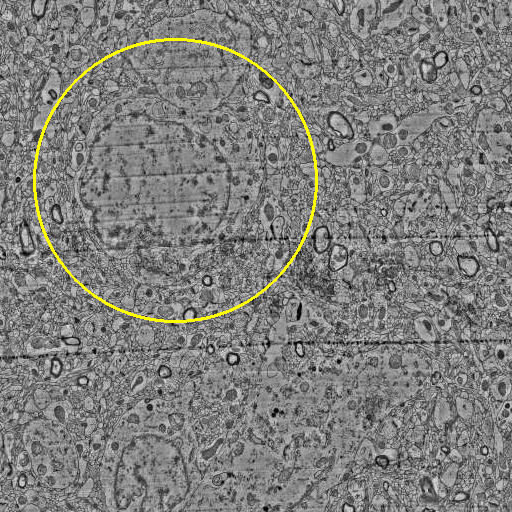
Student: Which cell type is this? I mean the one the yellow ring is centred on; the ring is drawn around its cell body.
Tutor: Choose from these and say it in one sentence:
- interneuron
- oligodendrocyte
The cell the ring is centred on is an interneuron.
